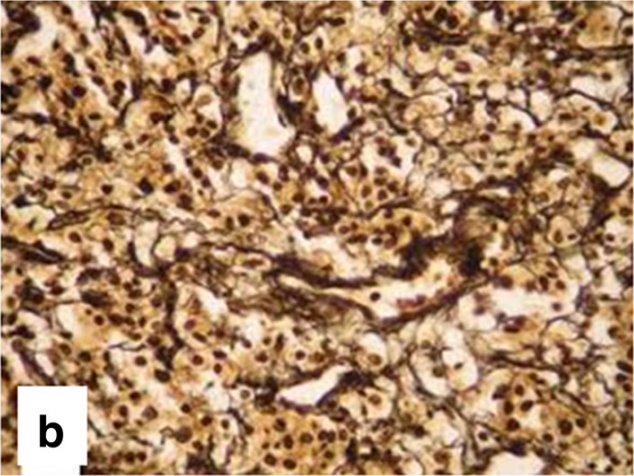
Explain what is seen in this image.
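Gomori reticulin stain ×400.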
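A dense network of fine black fibres runs through the tissue, thickest around open vessel lumens and extending between individual cells. The cells between the fibres have dark round nuclei and pale, partly clear cytoplasm.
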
